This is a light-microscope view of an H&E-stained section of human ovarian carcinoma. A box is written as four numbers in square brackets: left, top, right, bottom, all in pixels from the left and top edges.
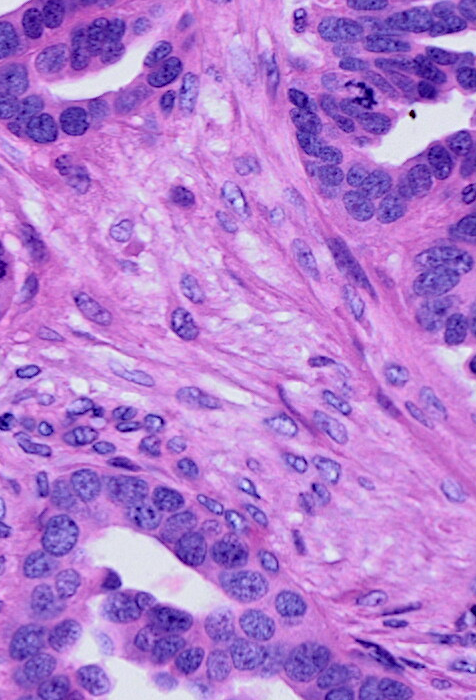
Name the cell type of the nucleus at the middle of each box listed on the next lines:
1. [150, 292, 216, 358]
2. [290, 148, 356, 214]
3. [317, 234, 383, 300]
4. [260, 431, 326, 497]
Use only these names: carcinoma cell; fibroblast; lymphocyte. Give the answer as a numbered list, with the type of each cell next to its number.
1. fibroblast
2. carcinoma cell
3. fibroblast
4. fibroblast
